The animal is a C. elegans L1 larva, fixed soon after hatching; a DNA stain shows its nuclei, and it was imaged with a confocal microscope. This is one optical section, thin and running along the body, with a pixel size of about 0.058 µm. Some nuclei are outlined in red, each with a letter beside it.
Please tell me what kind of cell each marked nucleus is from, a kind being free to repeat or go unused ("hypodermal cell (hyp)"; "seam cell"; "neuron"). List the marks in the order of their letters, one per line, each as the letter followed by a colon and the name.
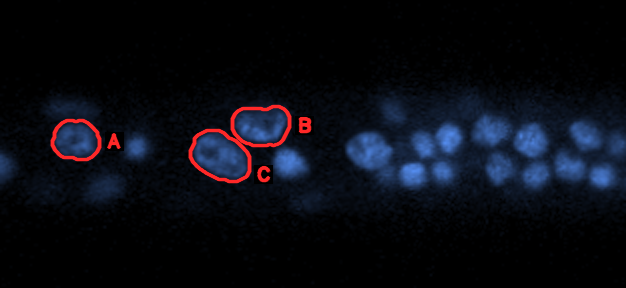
A: seam cell
B: hypodermal cell (hyp)
C: hypodermal cell (hyp)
